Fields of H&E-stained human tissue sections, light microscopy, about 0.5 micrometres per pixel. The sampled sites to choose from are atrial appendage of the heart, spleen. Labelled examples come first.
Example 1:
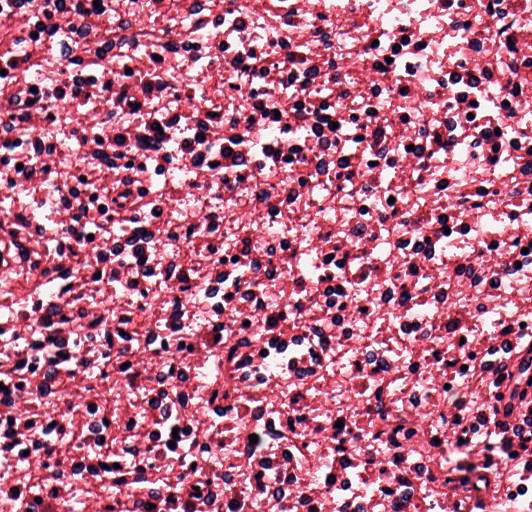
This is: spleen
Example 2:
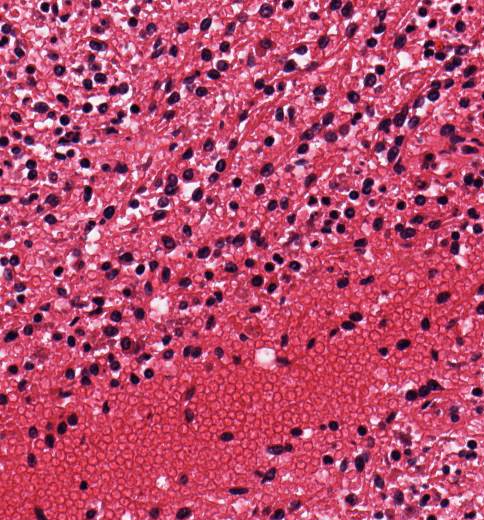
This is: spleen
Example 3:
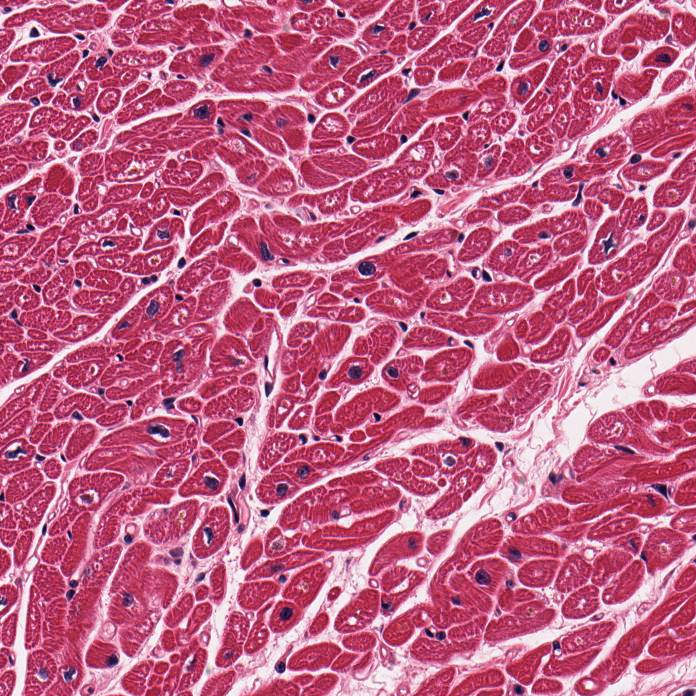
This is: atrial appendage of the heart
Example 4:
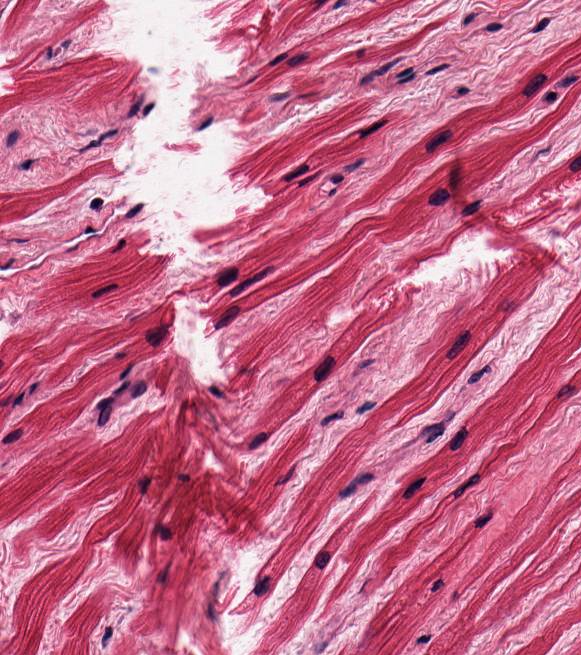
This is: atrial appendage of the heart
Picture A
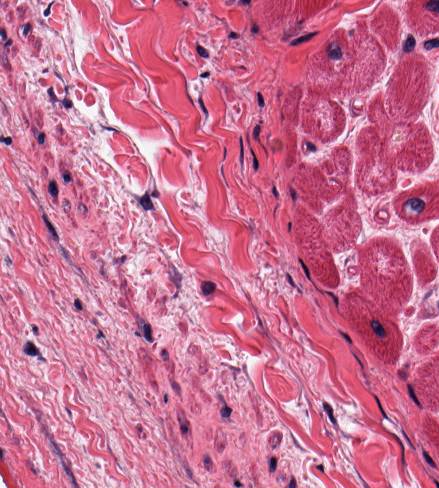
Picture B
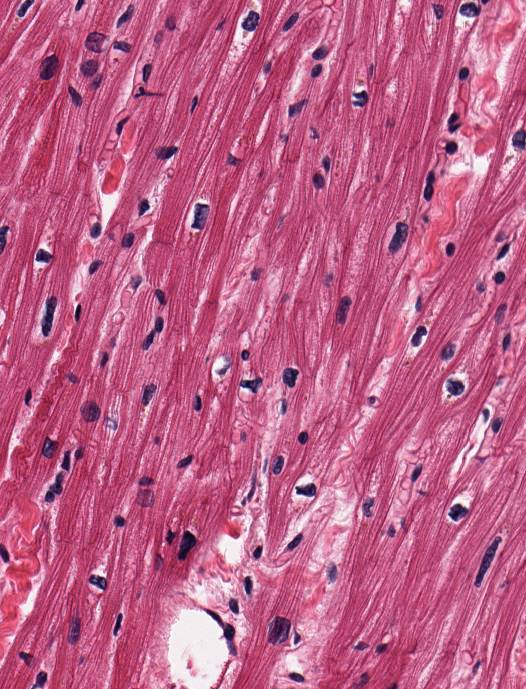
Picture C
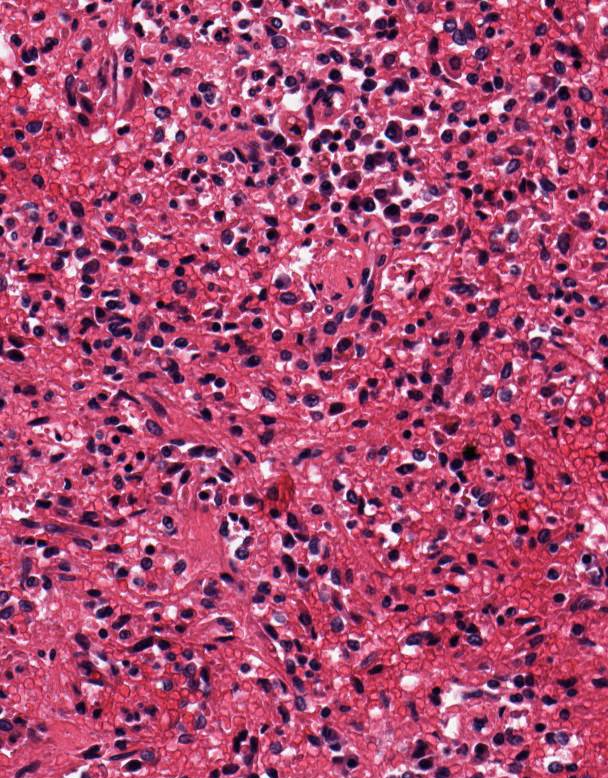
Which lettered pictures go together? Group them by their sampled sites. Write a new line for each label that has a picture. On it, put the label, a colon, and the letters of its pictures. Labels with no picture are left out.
atrial appendage of the heart: A, B
spleen: C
